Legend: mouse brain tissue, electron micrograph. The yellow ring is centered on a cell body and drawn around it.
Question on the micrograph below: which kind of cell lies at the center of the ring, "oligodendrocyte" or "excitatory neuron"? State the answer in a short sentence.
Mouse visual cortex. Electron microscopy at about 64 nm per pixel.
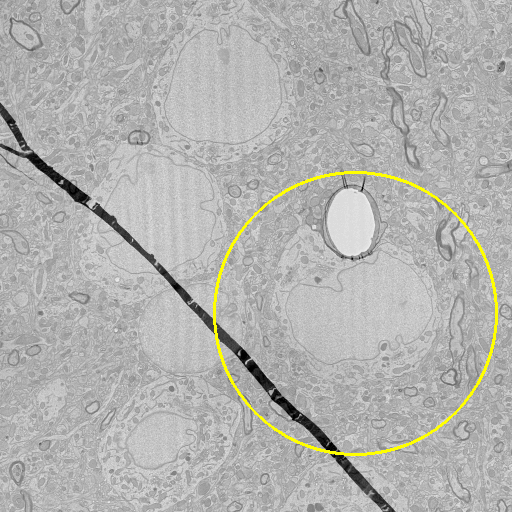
At the center of the ring lies an excitatory neuron.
